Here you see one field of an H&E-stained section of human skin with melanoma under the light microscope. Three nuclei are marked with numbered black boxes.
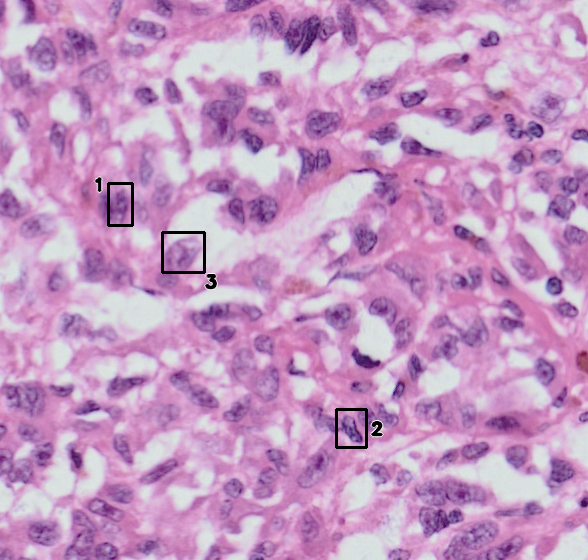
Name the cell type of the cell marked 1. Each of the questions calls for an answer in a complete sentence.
The marked nucleus 1 is that of a melanoma cell.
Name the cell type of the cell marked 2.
To a lymphocyte belongs the nucleus marked 2.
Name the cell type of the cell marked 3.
The cell that carries the label 3 is a melanoma cell.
